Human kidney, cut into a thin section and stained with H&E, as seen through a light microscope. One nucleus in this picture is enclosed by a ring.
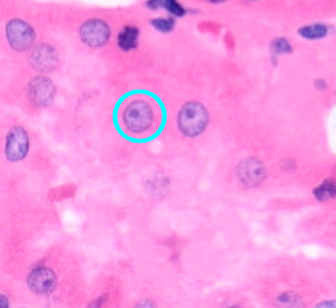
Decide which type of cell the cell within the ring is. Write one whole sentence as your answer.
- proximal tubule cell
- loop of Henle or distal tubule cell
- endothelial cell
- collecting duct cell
Within the stained tissue, the cell within the ring is a proximal tubule cell.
